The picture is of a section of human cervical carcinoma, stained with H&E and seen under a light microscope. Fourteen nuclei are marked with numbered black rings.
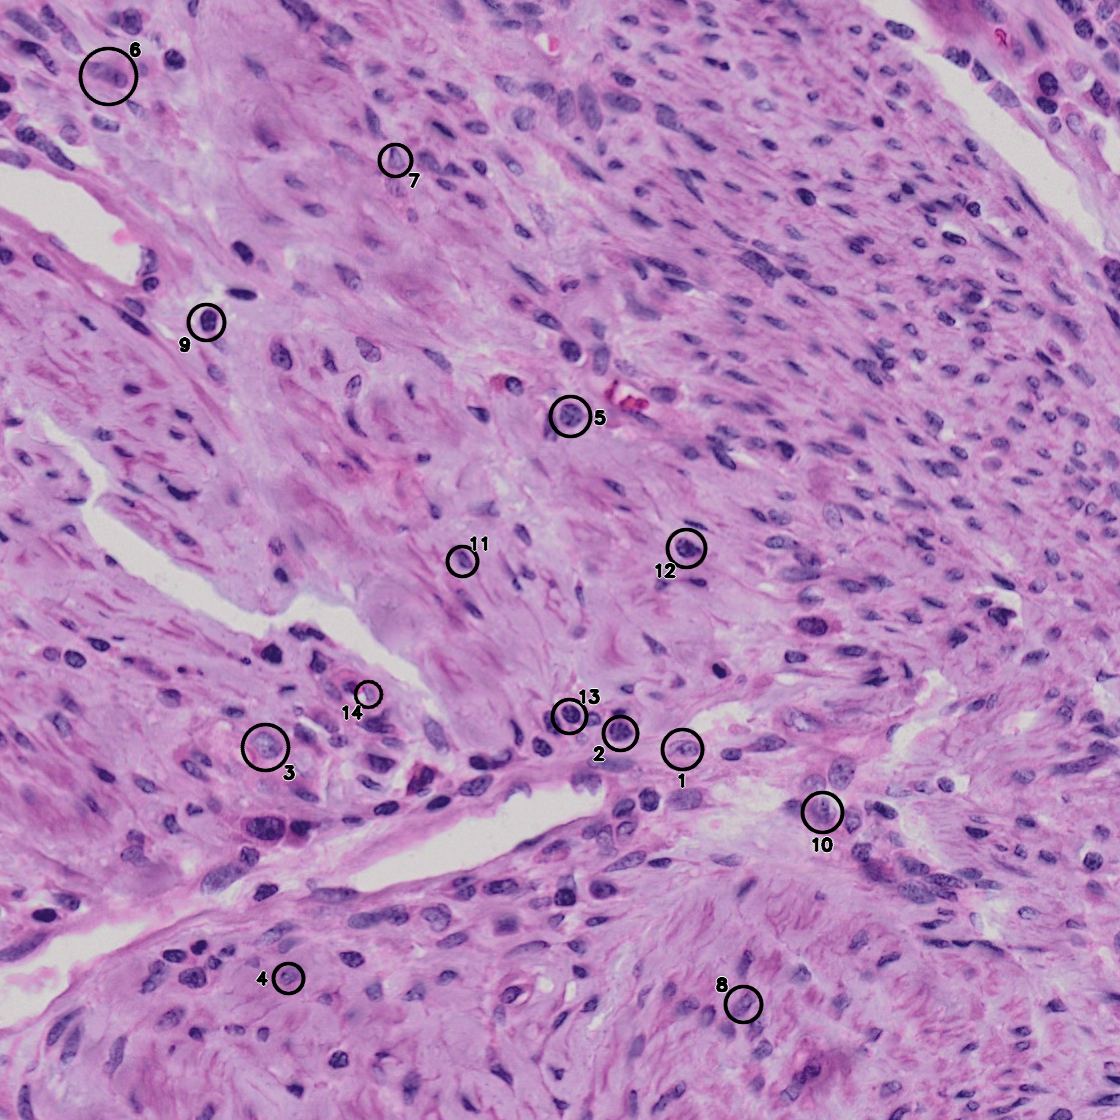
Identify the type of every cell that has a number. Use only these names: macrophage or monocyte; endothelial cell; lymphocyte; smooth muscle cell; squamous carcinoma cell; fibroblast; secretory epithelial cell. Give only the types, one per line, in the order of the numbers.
macrophage or monocyte
lymphocyte
endothelial cell
smooth muscle cell
lymphocyte
macrophage or monocyte
smooth muscle cell
smooth muscle cell
lymphocyte
endothelial cell
smooth muscle cell
lymphocyte
lymphocyte
endothelial cell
